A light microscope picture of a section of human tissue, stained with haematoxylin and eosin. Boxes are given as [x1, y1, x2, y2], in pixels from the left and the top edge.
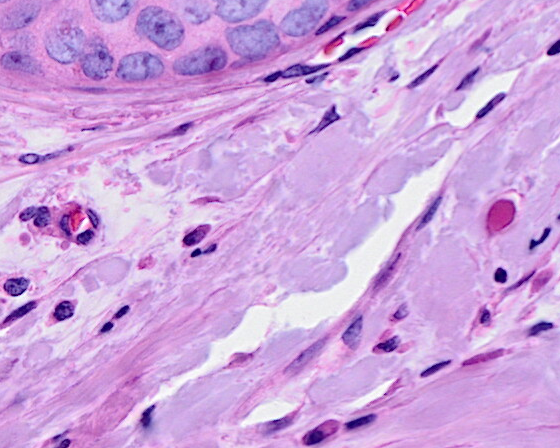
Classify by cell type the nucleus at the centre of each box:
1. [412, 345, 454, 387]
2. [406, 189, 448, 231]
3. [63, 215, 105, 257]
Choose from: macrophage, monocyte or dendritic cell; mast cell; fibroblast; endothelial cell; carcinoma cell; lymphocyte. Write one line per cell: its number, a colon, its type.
1: fibroblast
2: fibroblast
3: endothelial cell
